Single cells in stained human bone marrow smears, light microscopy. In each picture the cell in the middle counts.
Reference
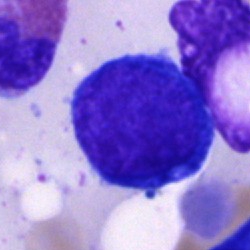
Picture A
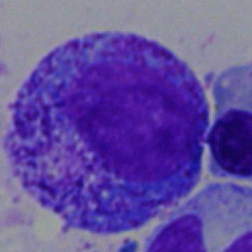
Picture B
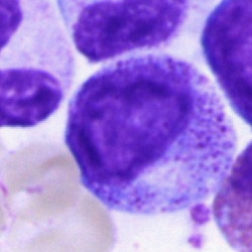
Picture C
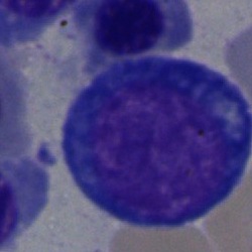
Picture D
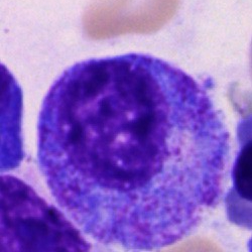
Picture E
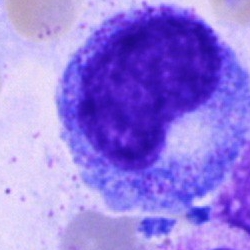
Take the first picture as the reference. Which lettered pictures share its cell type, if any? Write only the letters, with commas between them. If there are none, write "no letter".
C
